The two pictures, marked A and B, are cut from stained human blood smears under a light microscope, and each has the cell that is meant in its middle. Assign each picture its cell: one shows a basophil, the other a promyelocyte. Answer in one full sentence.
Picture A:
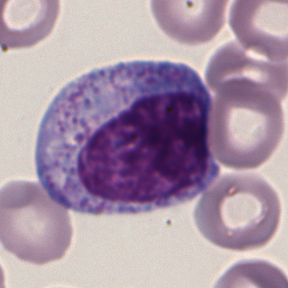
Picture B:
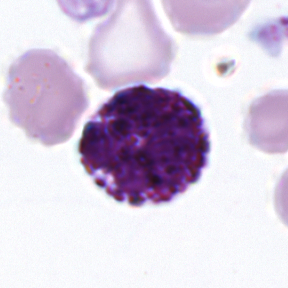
In picture A the cell is a promyelocyte; in picture B, a basophil.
